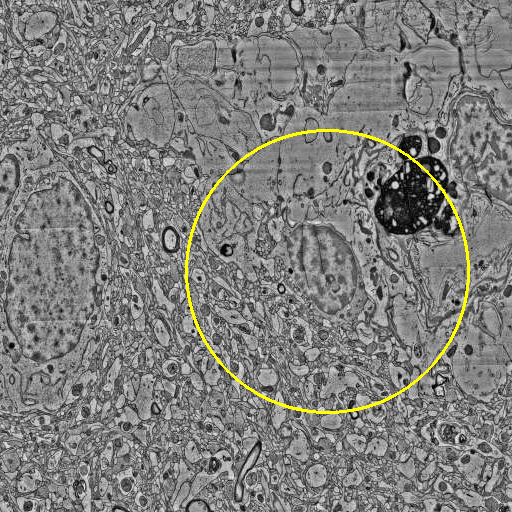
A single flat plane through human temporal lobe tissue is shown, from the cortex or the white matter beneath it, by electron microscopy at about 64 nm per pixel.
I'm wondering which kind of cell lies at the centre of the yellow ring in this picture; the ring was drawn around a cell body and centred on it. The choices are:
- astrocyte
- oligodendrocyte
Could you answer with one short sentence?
At the centre of the ring lies an oligodendrocyte.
